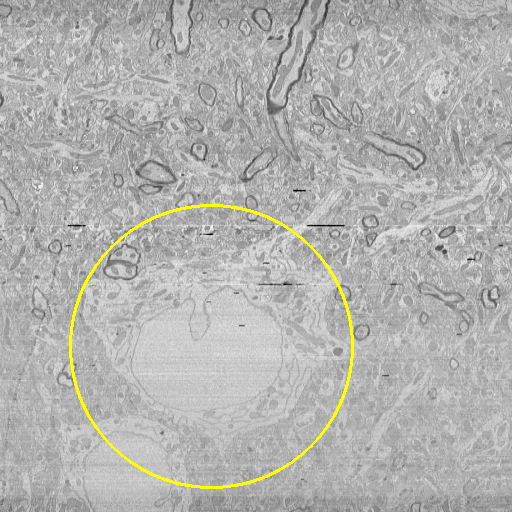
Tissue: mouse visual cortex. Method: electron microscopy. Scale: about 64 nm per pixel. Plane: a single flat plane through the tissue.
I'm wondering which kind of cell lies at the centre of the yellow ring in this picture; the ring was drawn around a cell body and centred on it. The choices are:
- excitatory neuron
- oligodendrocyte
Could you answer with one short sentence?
At the centre of the ring lies an excitatory neuron.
